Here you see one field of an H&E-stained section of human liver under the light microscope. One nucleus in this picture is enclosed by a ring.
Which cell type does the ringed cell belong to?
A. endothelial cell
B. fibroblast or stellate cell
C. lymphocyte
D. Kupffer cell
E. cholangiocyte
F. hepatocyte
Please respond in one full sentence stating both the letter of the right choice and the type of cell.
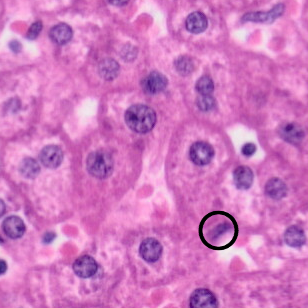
Option B names it right: the ringed cell is a fibroblast or stellate cell.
